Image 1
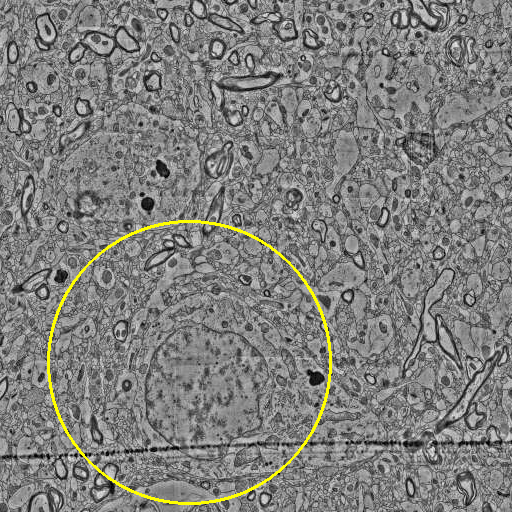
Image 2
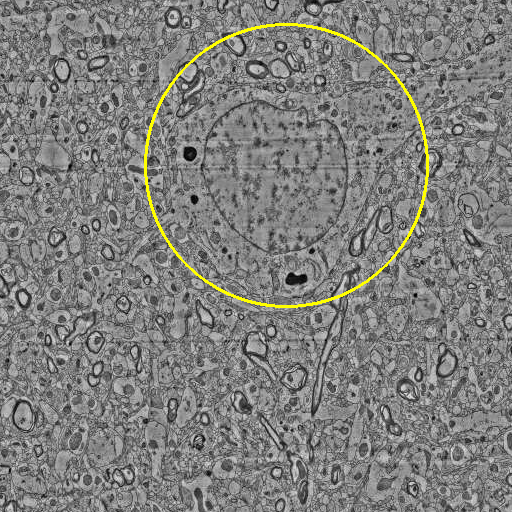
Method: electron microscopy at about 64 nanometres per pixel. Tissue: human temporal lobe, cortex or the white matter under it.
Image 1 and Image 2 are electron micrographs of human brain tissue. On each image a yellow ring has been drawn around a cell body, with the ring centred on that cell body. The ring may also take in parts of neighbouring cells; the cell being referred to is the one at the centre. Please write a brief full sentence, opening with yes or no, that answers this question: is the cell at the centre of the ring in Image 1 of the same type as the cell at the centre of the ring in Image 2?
Yes, both cells are of the same type.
